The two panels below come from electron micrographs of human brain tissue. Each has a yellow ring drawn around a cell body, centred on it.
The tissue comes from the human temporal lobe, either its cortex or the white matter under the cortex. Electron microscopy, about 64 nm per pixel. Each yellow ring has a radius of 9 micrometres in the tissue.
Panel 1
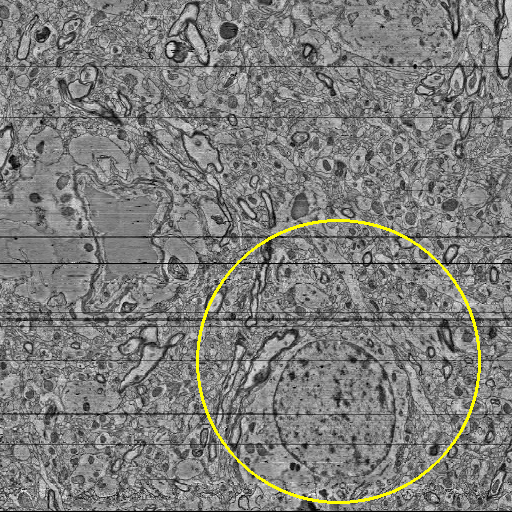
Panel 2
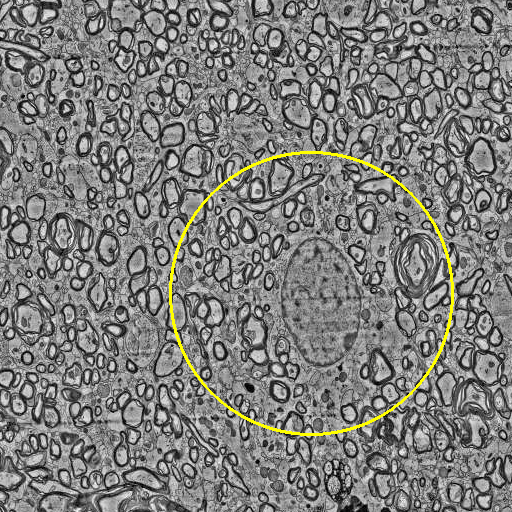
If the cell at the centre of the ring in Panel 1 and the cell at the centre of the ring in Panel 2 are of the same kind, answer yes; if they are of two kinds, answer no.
yes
